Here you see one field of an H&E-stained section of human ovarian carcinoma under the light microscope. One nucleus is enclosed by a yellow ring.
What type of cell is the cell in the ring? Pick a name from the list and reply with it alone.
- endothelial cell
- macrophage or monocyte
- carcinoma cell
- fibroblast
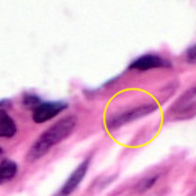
fibroblast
